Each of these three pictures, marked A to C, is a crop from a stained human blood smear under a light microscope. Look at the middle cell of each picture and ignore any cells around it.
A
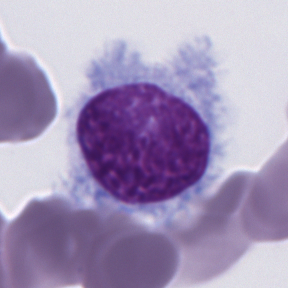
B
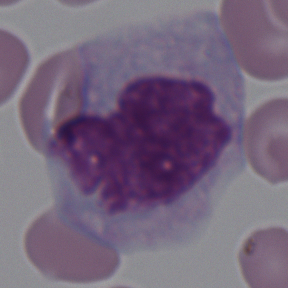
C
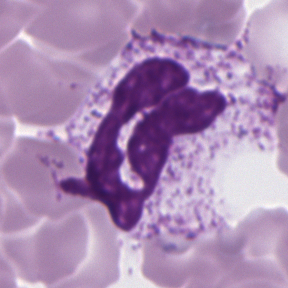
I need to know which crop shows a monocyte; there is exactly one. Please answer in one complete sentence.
Identified crop: B, the one that shows a monocyte.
